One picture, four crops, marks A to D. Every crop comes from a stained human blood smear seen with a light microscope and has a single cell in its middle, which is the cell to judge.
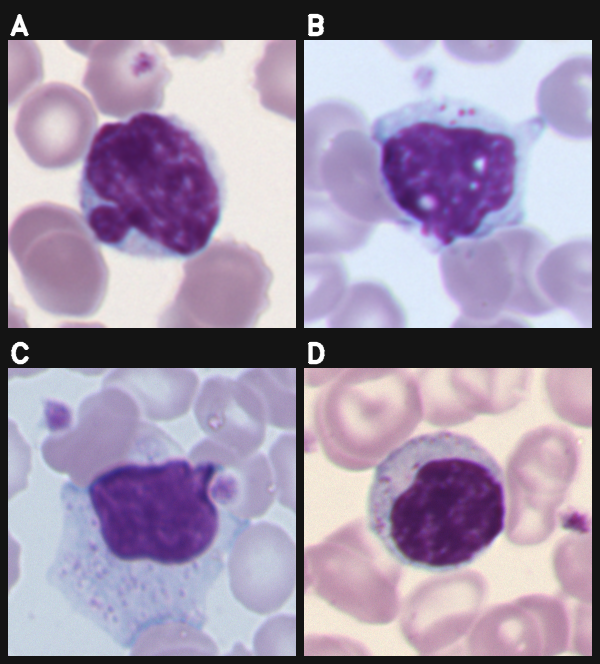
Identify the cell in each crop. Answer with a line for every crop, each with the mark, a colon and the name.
A: typical lymphocyte
B: large granular lymphocyte
C: large granular lymphocyte
D: large granular lymphocyte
